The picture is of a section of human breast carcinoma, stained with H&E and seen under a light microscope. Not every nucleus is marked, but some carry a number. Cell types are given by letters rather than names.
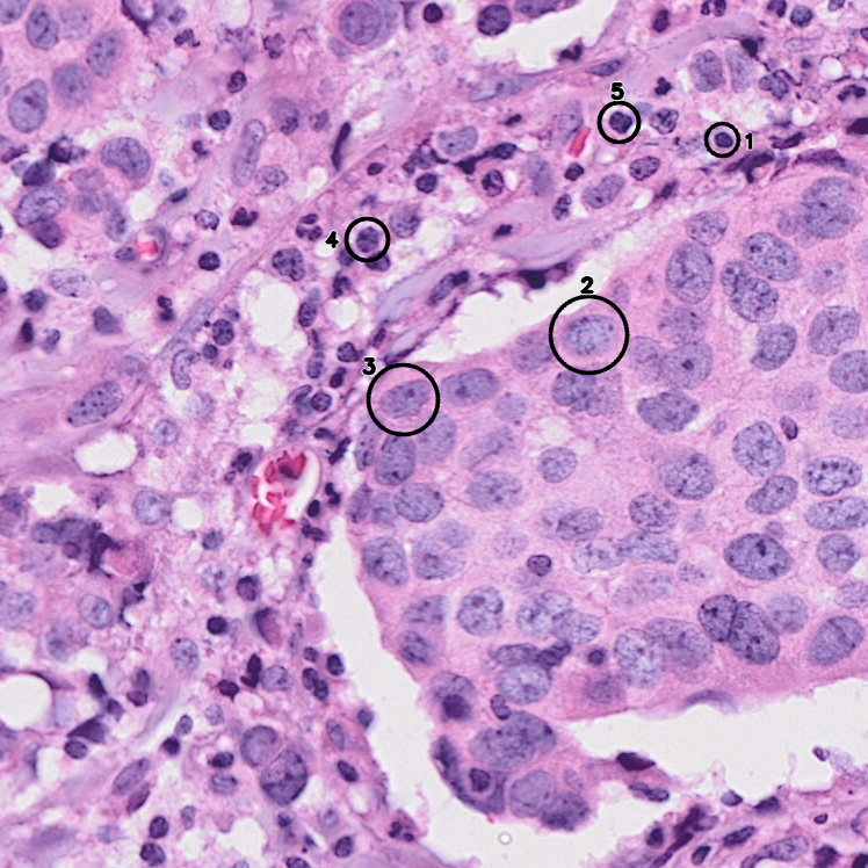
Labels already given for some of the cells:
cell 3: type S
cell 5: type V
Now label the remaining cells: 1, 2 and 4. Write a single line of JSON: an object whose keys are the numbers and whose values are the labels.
{"1": "type V", "2": "type S", "4": "type V"}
